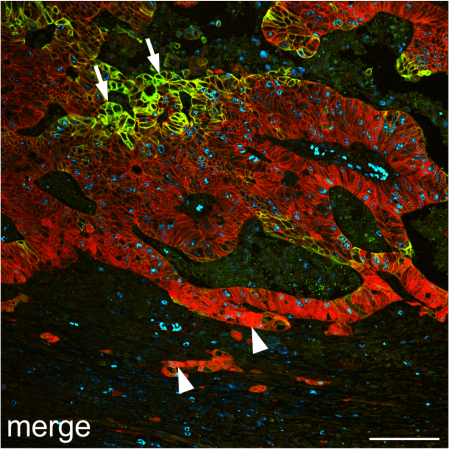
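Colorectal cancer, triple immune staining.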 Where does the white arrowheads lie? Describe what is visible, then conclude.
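Tumor edge. They lie in the stroma at the lower border of the tumor glands.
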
